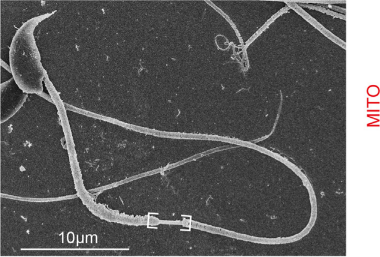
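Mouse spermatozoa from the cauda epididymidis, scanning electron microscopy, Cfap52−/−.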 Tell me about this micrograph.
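A hook-shaped head is visible at the upper left, and the tails run as long slender filaments, with a thicker proximal segment and thinner distal stretches. A white bracket marks a stretch of one tail near a point where its thickness changes. Small fragments of debris lie on the background and along some tails.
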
